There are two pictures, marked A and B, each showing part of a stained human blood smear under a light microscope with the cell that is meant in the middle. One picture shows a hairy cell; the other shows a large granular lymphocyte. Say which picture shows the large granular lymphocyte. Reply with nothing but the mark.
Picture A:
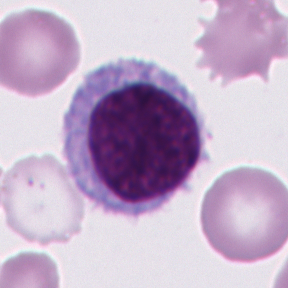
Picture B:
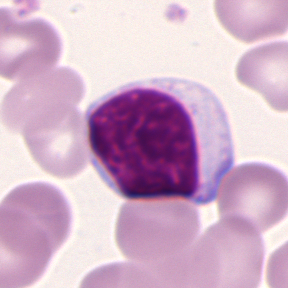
B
